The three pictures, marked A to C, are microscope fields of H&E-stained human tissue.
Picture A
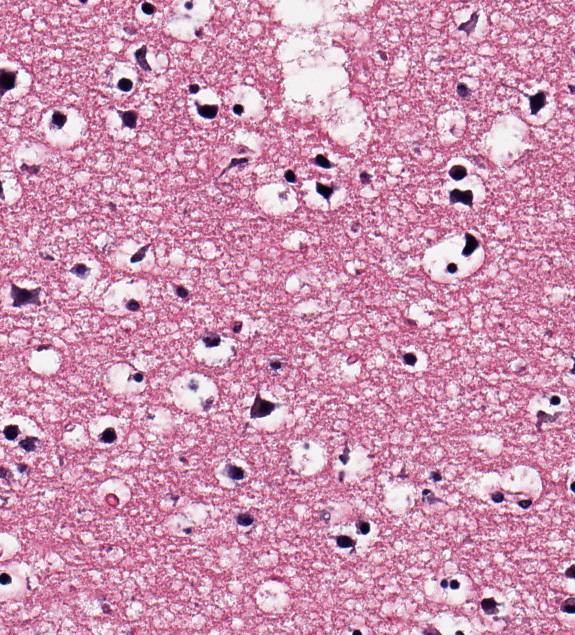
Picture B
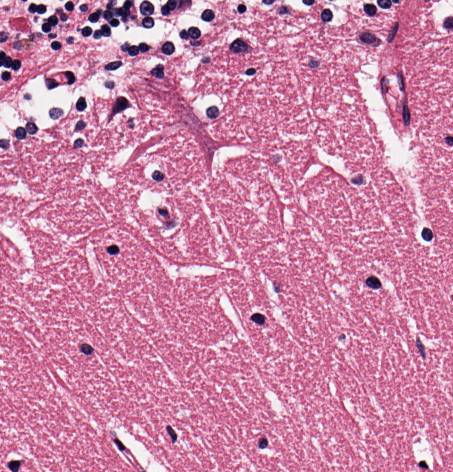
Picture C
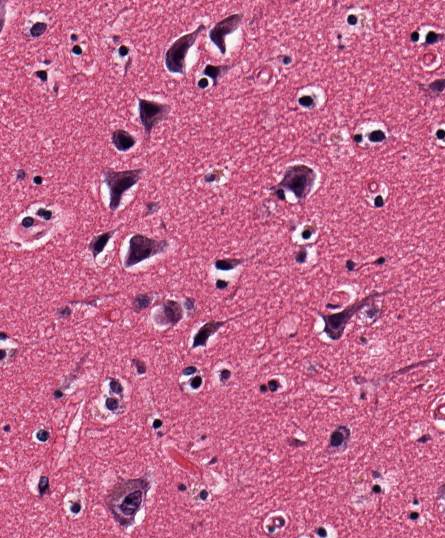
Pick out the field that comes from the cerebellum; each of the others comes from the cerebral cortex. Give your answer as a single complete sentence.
The one that comes from the cerebellum is picture B.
